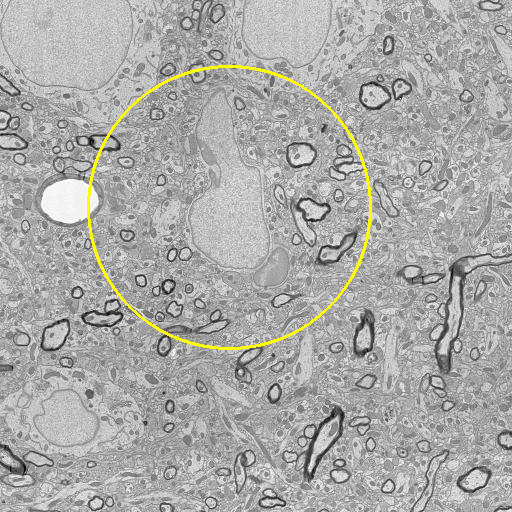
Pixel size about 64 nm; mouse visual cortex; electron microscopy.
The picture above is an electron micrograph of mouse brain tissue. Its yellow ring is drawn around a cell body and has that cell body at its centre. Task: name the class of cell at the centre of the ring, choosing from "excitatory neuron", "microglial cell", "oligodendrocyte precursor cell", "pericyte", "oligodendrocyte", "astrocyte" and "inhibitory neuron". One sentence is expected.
The ring surrounds the body of an oligodendrocyte precursor cell.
